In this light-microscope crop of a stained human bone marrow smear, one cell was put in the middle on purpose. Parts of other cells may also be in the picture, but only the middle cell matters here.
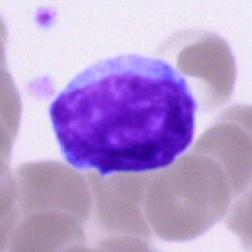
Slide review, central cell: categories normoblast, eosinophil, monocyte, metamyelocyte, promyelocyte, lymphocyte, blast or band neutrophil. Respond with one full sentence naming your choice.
The cell centered in this field of view is a lymphocyte.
